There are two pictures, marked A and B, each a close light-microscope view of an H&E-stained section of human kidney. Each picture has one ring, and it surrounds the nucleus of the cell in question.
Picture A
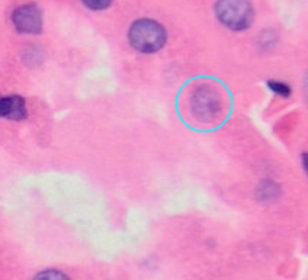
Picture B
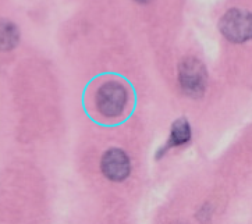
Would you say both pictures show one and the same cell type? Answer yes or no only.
yes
